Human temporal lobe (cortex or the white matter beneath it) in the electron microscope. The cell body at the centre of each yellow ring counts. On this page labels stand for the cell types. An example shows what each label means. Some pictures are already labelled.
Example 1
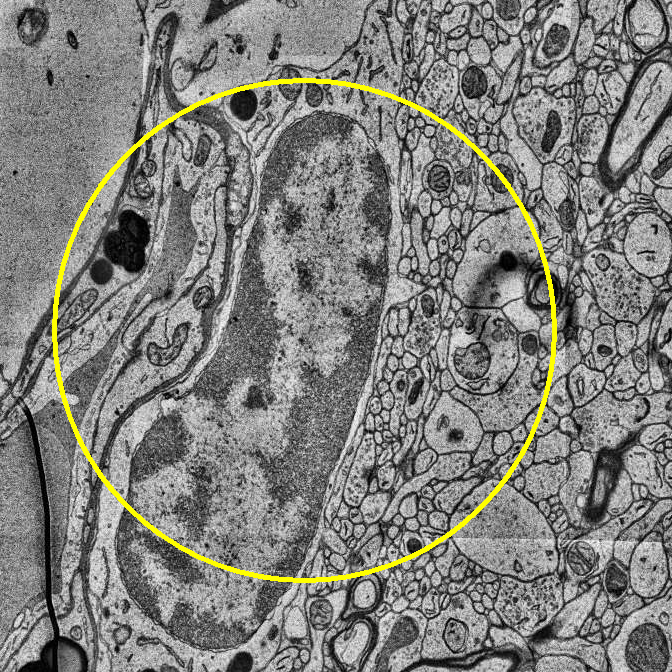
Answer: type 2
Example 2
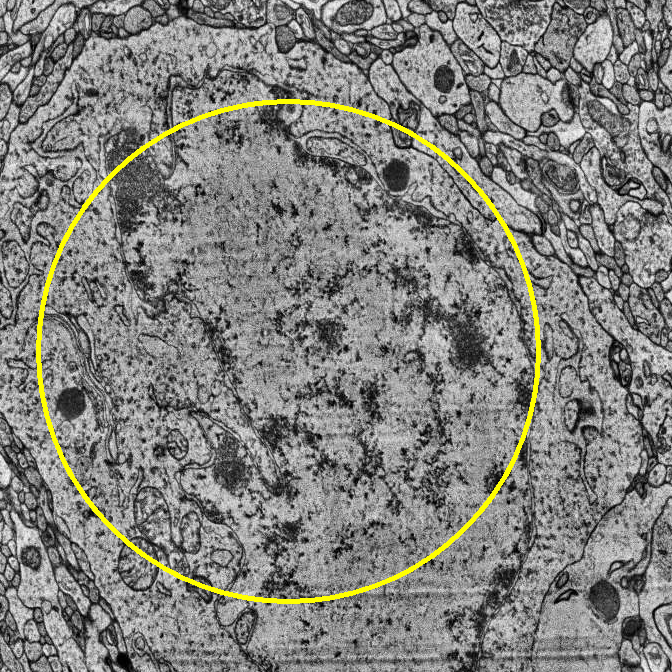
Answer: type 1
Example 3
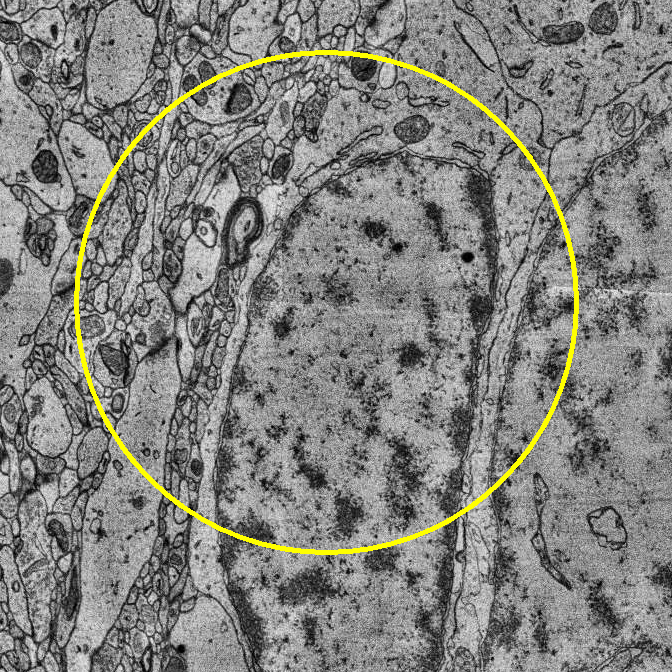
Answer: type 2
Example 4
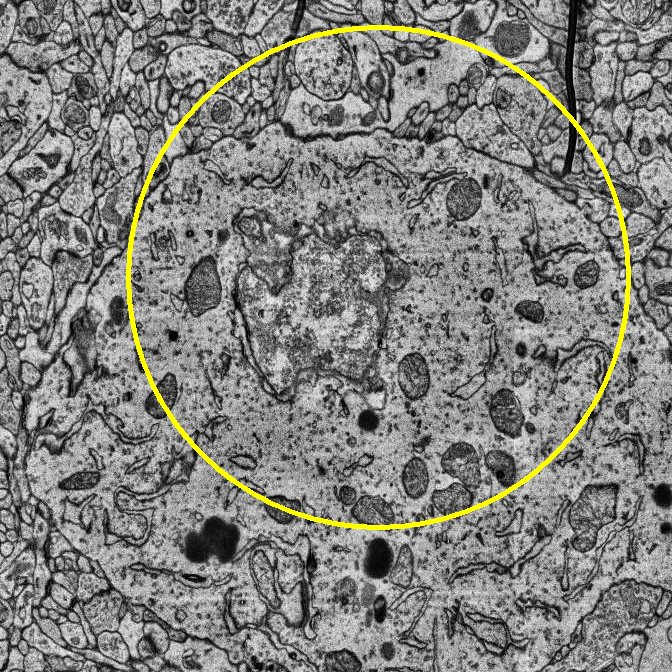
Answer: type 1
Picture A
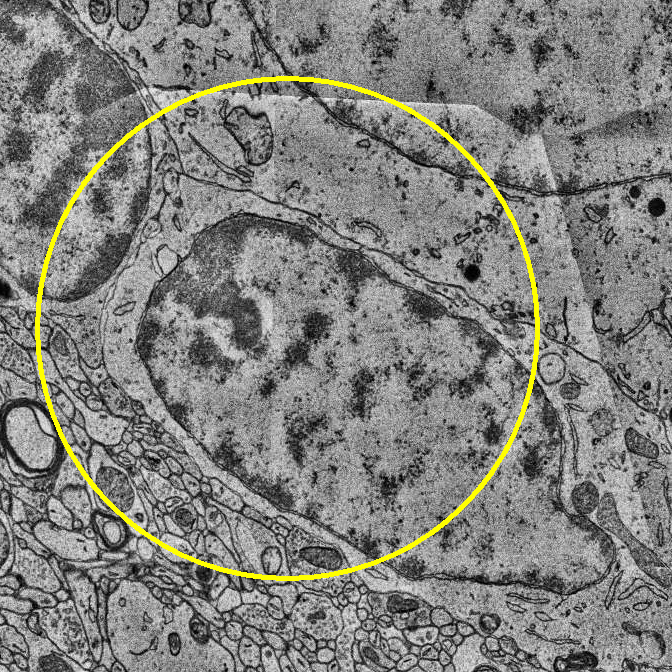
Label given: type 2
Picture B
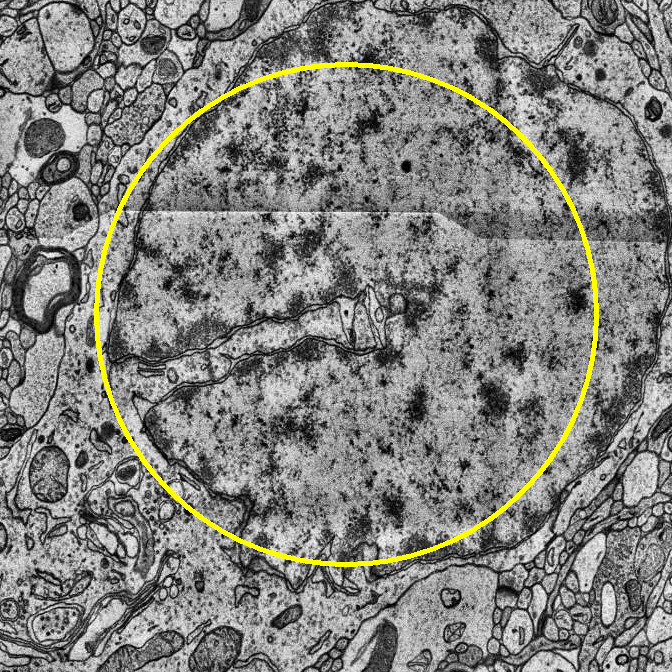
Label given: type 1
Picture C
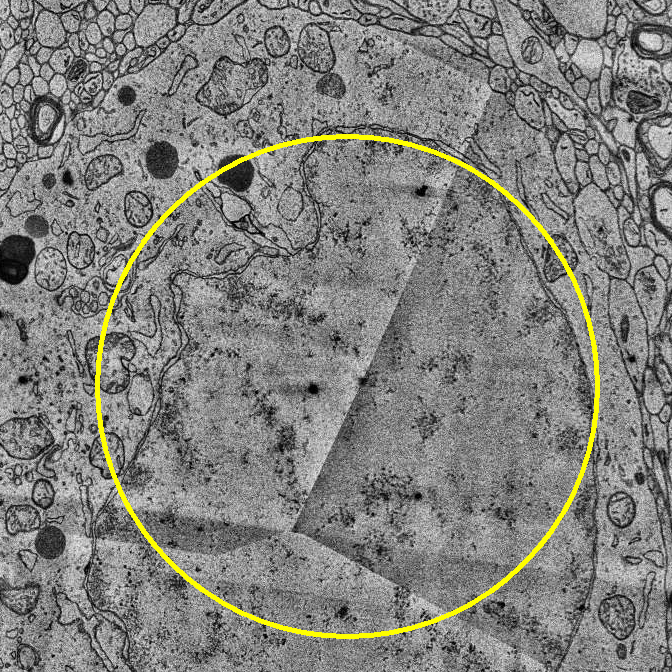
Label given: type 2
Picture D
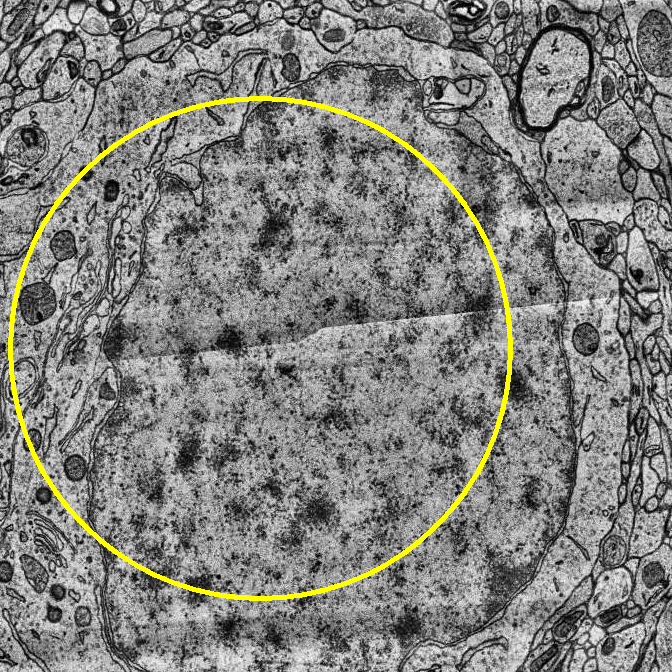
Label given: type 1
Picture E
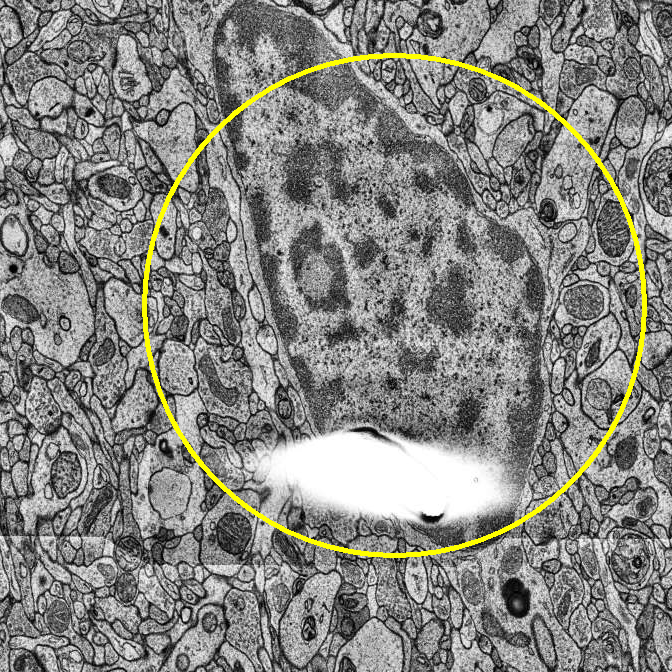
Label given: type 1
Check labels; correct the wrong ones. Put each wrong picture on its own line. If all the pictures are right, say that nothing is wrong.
C: not type 2 but type 1
E: not type 1 but type 2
